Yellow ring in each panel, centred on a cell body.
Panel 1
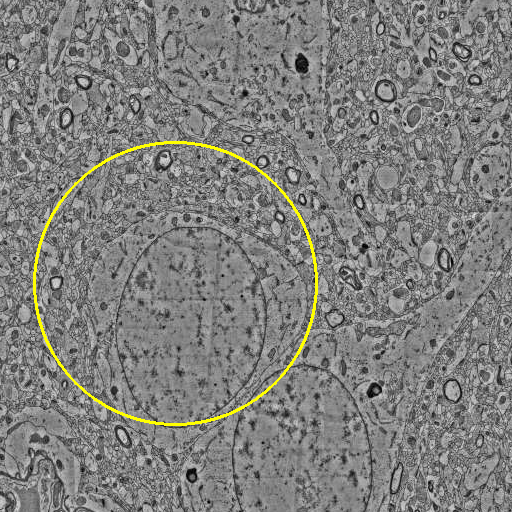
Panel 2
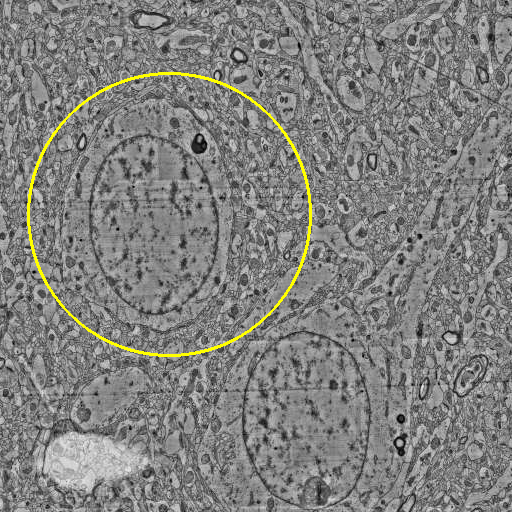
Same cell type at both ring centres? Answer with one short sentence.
Yes, both cells are of the same type.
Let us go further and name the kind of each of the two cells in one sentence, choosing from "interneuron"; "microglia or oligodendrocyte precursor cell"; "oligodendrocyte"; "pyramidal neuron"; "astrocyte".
Each of the two rings is centred on a pyramidal neuron.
